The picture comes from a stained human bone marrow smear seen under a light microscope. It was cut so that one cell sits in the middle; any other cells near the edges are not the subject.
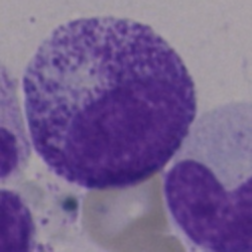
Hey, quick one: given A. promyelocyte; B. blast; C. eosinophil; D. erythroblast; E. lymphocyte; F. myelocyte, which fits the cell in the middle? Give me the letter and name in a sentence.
In the middle of the crop is a promyelocyte; option A is therefore correct.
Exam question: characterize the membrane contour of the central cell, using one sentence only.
From every side, the cell boundary is smooth and free of projections.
